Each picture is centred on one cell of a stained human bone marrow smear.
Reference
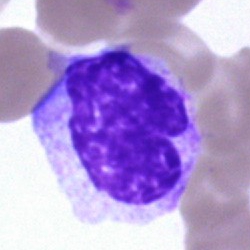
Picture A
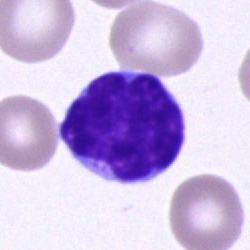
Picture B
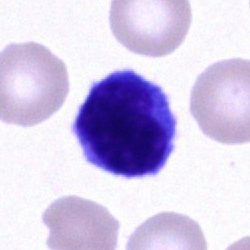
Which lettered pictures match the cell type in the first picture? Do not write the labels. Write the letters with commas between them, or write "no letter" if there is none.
no letter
